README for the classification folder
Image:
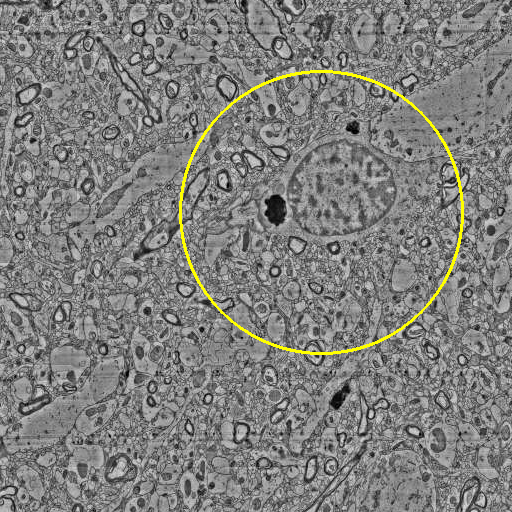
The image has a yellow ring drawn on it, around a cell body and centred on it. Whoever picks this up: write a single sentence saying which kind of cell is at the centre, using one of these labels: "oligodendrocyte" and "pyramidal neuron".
This cell body is that of an oligodendrocyte.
